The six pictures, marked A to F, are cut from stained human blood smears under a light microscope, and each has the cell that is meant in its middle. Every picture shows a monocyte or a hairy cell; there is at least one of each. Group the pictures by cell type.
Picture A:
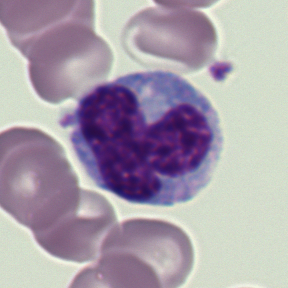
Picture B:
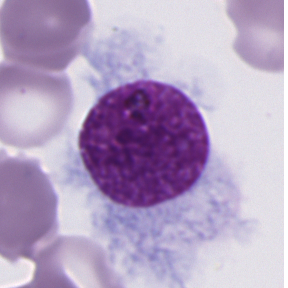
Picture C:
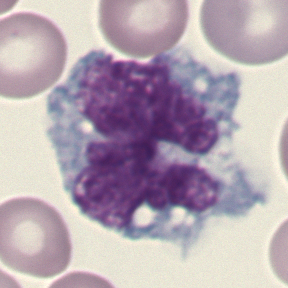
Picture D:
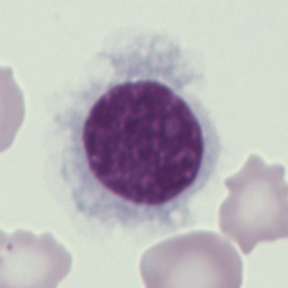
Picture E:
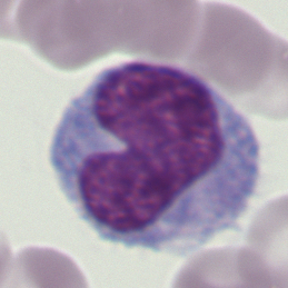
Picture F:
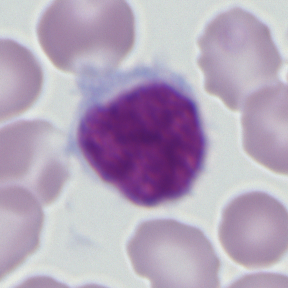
A: monocyte
B: hairy cell
C: monocyte
D: hairy cell
E: monocyte
F: hairy cell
